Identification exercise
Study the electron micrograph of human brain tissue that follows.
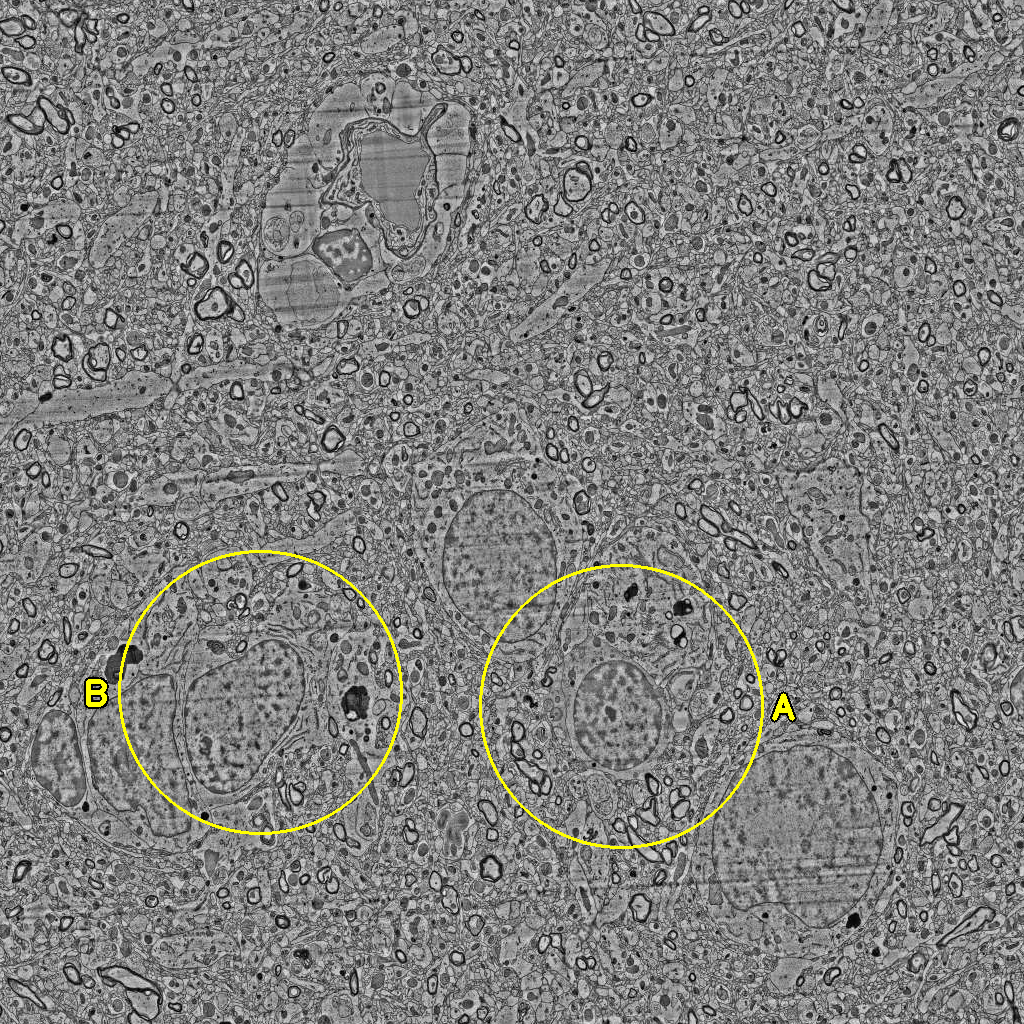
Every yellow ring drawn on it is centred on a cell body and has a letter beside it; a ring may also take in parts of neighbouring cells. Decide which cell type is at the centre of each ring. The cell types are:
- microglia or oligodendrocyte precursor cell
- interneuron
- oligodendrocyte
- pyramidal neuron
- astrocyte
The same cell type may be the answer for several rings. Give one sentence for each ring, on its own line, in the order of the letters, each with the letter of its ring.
Ring A encircles an oligodendrocyte.
Ring B encircles a microglial cell or oligodendrocyte precursor cell.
